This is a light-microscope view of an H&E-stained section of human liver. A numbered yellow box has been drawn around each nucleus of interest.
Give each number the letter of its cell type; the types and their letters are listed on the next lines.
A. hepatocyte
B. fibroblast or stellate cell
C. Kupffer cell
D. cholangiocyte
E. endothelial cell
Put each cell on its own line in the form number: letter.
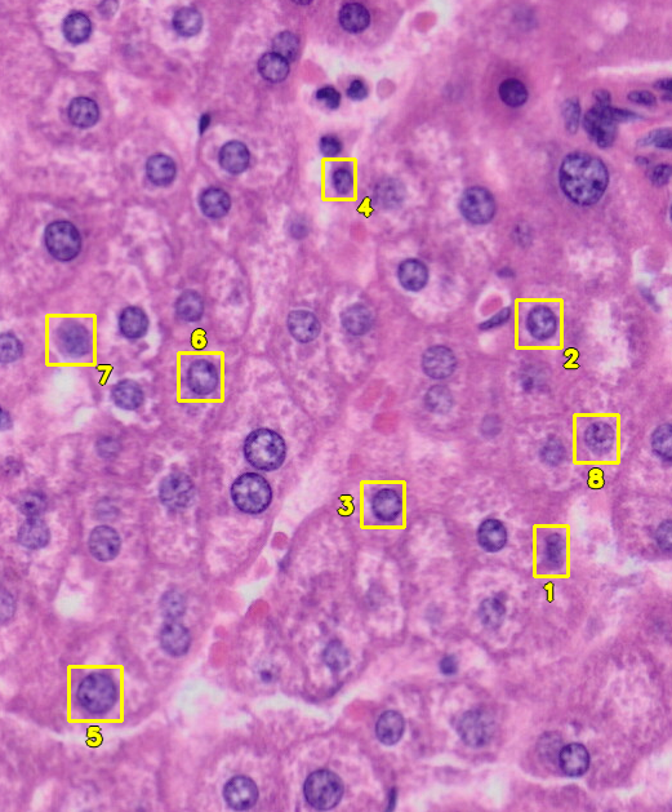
1: E
2: A
3: A
4: C
5: A
6: A
7: E
8: A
